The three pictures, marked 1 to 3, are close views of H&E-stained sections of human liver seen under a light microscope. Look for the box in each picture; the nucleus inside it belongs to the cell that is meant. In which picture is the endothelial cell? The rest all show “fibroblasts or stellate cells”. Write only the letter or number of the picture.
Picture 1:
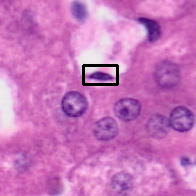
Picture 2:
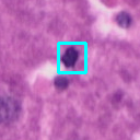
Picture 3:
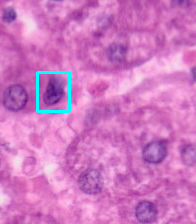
1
